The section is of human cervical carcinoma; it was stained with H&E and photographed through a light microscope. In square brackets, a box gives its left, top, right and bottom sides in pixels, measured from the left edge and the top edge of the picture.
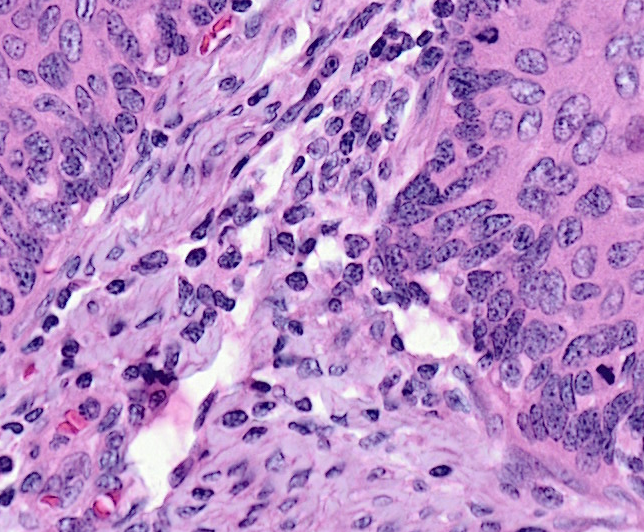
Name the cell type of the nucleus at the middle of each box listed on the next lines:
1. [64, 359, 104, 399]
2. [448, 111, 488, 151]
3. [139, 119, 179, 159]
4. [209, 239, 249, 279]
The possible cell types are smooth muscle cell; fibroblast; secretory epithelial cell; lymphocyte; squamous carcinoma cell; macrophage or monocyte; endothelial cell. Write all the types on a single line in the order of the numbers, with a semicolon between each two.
lymphocyte; squamous carcinoma cell; lymphocyte; lymphocyte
